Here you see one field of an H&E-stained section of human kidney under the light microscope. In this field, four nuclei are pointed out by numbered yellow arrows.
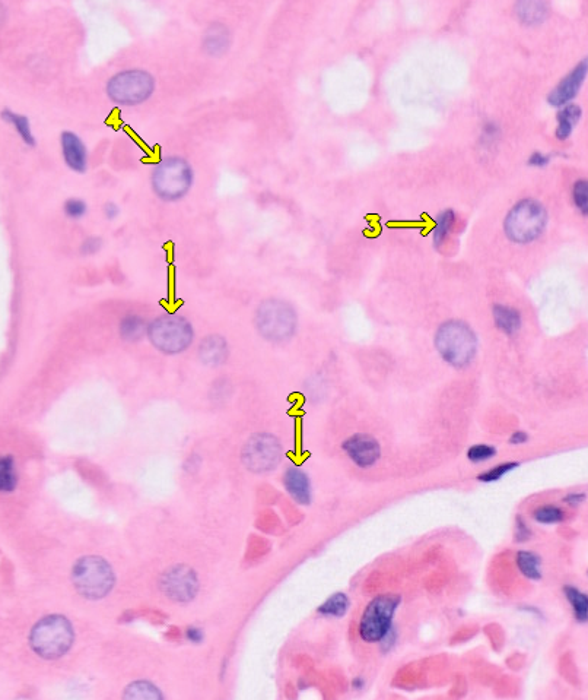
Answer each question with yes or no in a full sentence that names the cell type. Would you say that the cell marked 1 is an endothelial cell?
No, calling cell 1 an endothelial cell is a mistake; it is a proximal tubule cell.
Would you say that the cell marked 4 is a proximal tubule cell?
Yes, on this slide, the cell with number 4 is a proximal tubule cell.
